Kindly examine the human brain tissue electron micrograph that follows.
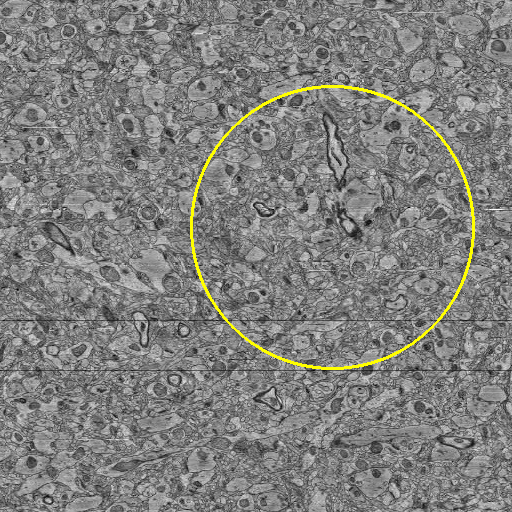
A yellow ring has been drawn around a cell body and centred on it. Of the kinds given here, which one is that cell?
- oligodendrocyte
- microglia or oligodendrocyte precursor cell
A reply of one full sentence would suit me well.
The micrograph's ringed cell, the one at the ring's centre, is a microglial cell or oligodendrocyte precursor cell.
